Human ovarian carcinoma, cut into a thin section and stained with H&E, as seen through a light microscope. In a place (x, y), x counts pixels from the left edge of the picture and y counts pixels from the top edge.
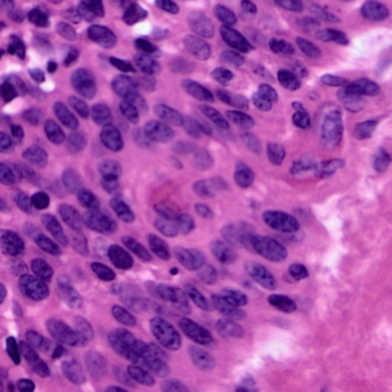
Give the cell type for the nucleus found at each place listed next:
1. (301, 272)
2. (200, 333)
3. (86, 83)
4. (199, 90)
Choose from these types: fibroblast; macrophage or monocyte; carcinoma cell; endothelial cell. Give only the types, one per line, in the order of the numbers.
macrophage or monocyte
carcinoma cell
carcinoma cell
carcinoma cell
